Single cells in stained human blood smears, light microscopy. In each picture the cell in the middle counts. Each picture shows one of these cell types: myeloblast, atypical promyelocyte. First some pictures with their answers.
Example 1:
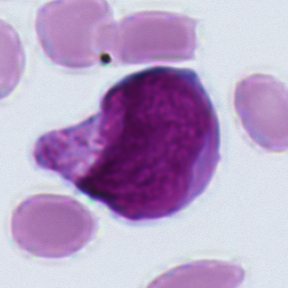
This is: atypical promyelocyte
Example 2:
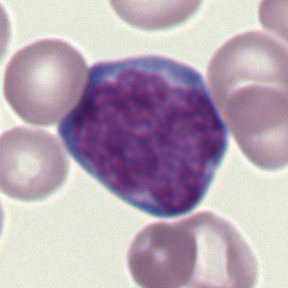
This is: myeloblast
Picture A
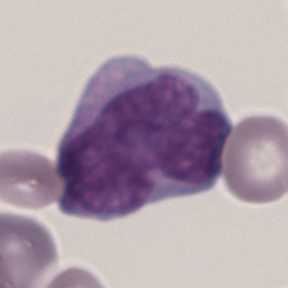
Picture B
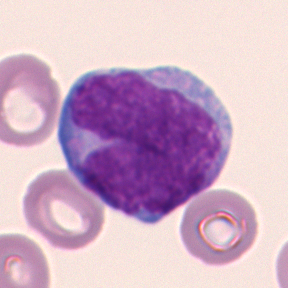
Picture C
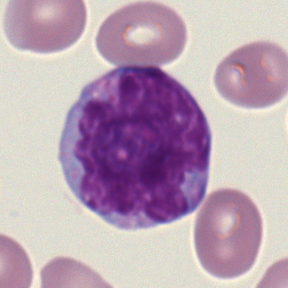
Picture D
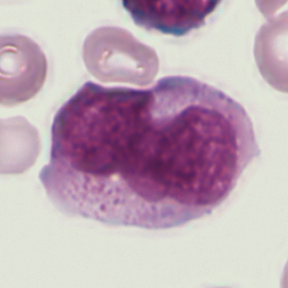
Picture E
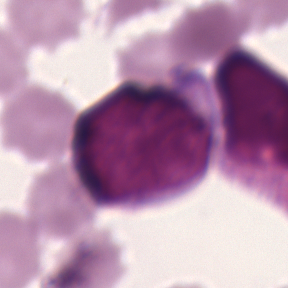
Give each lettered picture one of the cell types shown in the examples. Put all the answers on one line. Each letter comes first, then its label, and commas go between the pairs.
A atypical promyelocyte, B atypical promyelocyte, C atypical promyelocyte, D atypical promyelocyte, E myeloblast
